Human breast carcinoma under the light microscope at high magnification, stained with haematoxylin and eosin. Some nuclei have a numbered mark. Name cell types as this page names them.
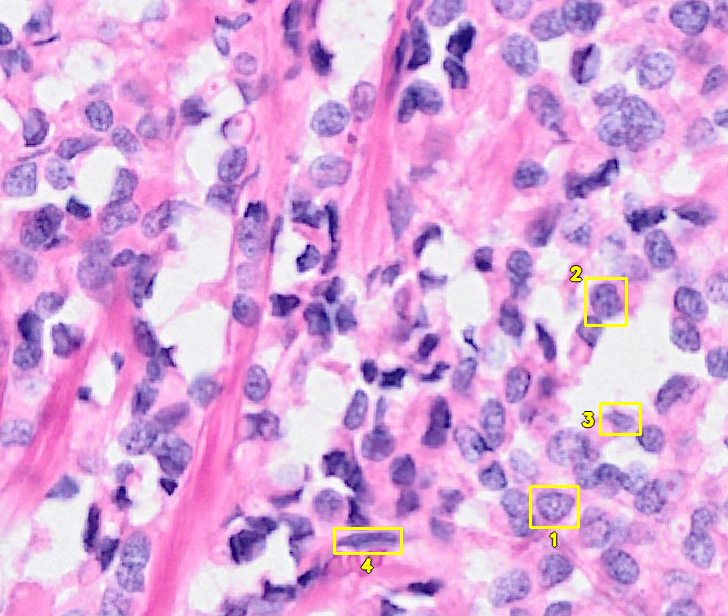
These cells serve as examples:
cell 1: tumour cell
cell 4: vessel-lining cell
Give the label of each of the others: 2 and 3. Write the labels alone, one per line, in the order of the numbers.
tumour cell
tumour cell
